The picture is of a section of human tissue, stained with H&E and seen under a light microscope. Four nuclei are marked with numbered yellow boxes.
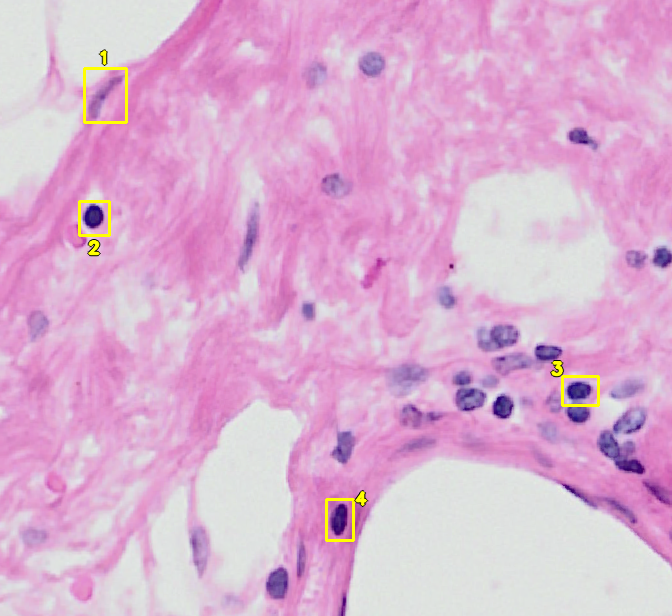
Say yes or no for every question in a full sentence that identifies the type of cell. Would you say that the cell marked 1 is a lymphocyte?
No, cell 1 is not to be taken for a lymphocyte; it is a fibroblast.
